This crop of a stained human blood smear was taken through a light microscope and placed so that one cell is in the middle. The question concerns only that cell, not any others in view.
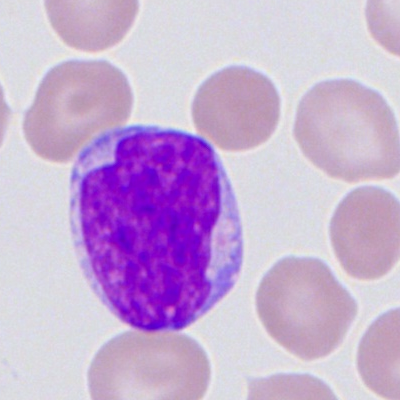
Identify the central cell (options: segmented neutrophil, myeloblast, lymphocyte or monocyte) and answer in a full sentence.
The cell of interest, located centrally, is a myeloblast.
